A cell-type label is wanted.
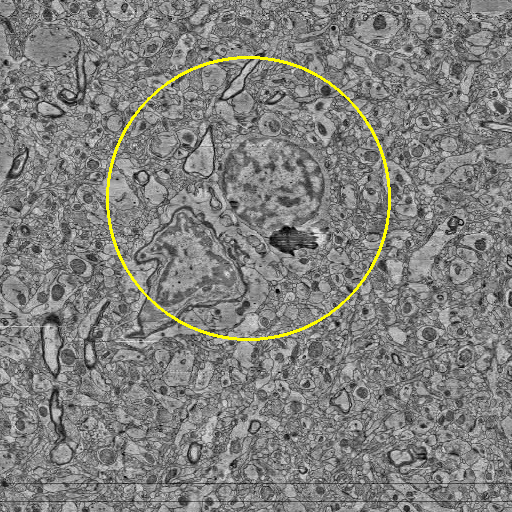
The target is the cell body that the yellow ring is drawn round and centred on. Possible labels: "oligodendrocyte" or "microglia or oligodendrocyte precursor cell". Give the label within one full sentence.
Of the labels offered, the cell in the middle of the yellow ring is an oligodendrocyte.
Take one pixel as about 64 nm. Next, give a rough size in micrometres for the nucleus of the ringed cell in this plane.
The nucleus is about 6 micrometres across in this plane.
